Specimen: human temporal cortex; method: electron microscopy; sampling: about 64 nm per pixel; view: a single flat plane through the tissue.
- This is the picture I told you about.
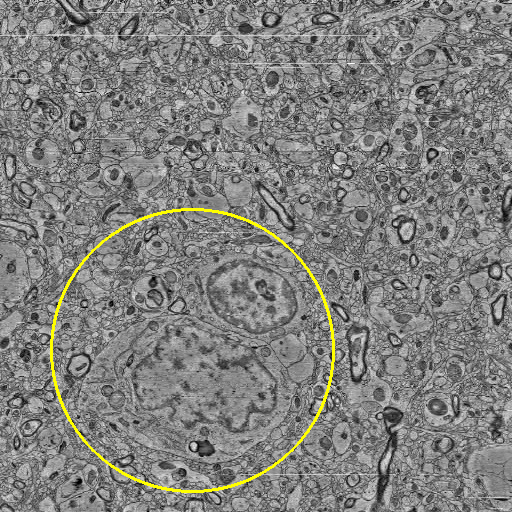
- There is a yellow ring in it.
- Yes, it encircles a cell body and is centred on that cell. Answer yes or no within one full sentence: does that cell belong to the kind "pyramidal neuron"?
No, the cell on which the yellow ring is centred belongs to a different kind.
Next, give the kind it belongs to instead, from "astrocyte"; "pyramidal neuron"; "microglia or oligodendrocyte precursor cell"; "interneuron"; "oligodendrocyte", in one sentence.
Instead, the picture shows an interneuron at the centre of the ring.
